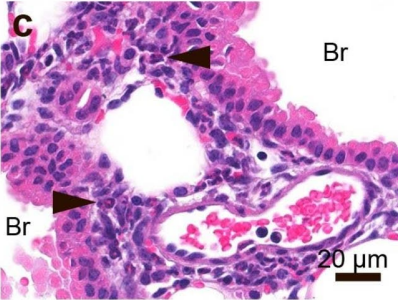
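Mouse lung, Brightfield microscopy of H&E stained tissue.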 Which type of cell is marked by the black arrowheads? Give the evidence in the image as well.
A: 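The arrowheads point into a dense cellular infiltrate beside the airway epithelium.
Hence: eosinophils.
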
